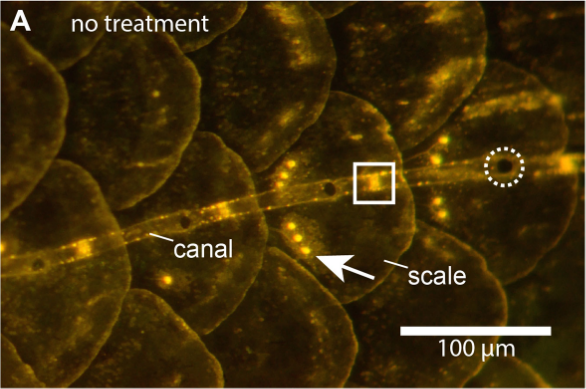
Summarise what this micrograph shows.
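This is the skin of the trunk seen from above, with overlapping rounded scales and a tube-shaped canal running across them. Bright yellow dots, the hair cells of neuromasts, sit in small clusters along the canal and in short rows on the scales beside it. A round dark hole in the canal is a canal pore, lying between two brightly lit neuromasts in the canal.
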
